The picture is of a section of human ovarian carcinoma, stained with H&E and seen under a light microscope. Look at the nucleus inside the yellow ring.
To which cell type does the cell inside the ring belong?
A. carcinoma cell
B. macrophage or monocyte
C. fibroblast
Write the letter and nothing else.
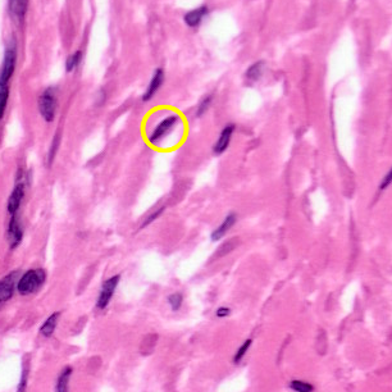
C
